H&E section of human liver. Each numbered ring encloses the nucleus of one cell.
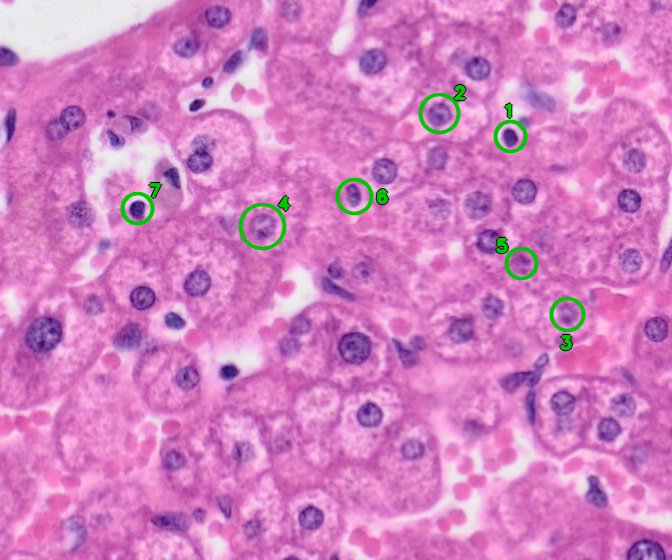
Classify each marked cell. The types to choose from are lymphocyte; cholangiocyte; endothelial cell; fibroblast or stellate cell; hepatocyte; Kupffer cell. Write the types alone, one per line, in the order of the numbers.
lymphocyte
hepatocyte
hepatocyte
hepatocyte
hepatocyte
lymphocyte
lymphocyte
